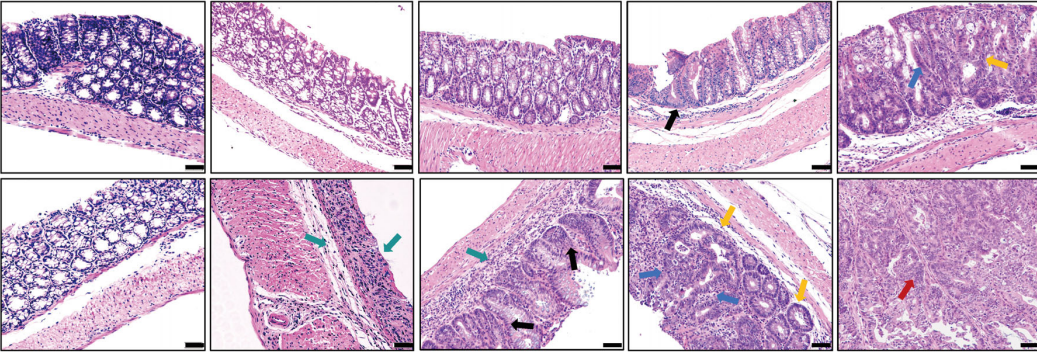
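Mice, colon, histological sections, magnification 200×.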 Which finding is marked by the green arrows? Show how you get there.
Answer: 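The green arrows point to densely packed small dark nuclei in the wall below the crypts.
Hence: inflammatory cells infiltrating in the mucosal and submucosa.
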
